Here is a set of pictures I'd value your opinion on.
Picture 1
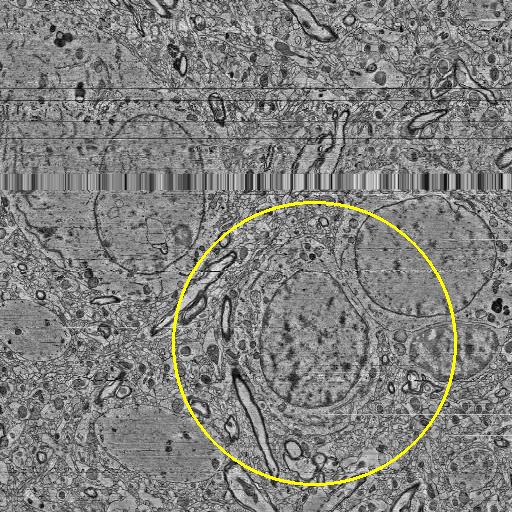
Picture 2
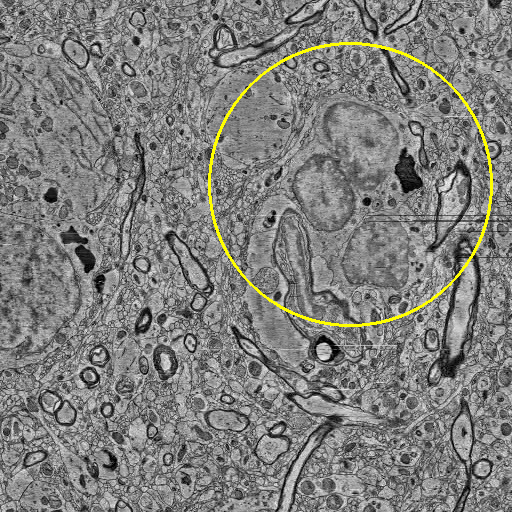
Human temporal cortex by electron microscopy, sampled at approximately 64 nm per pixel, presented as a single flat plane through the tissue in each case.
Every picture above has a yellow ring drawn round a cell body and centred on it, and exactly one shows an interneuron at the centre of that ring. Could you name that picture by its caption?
Picture 1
